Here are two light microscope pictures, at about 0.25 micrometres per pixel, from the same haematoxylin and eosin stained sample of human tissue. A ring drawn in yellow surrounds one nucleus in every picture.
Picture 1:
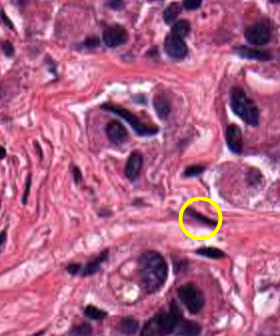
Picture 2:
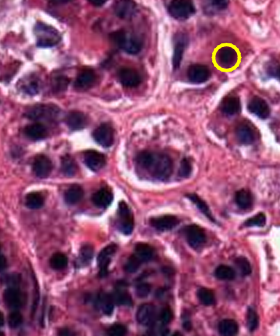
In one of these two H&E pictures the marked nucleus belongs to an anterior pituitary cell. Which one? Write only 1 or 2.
2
